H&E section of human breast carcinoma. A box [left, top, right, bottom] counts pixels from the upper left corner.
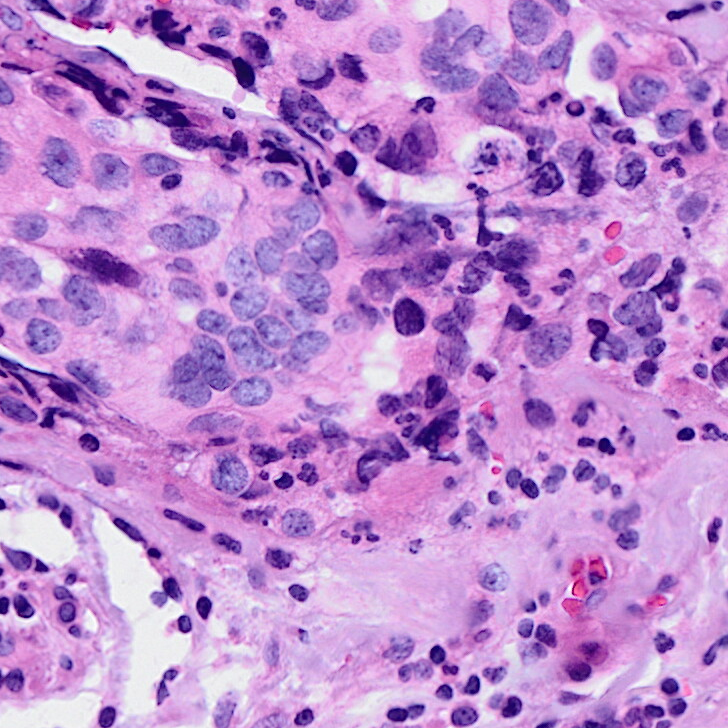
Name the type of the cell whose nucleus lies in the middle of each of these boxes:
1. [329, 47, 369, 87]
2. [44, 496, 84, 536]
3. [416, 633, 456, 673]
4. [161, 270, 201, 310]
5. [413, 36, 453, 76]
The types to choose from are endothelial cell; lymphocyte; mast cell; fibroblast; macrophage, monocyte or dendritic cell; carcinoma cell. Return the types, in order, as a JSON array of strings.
["carcinoma cell", "lymphocyte", "lymphocyte", "carcinoma cell", "carcinoma cell"]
